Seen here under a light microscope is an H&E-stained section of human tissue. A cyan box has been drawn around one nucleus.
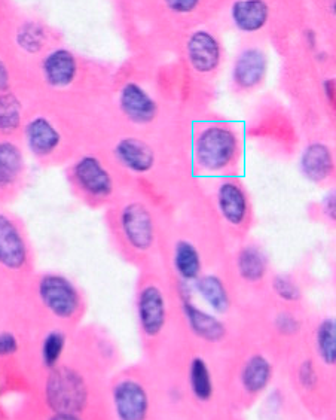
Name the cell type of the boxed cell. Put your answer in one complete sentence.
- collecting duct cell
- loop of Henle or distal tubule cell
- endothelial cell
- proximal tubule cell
It is as a loop of Henle or distal tubule cell that the boxed cell is classified.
